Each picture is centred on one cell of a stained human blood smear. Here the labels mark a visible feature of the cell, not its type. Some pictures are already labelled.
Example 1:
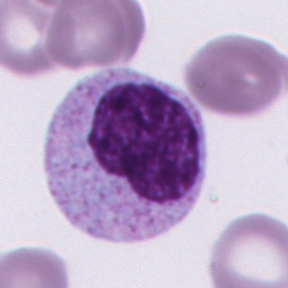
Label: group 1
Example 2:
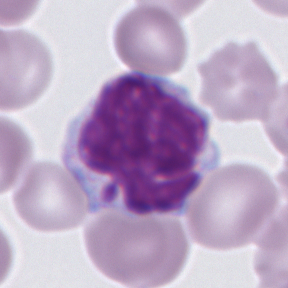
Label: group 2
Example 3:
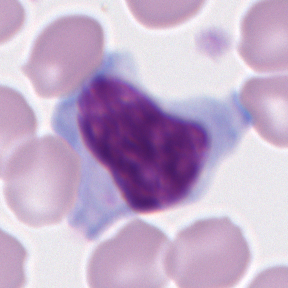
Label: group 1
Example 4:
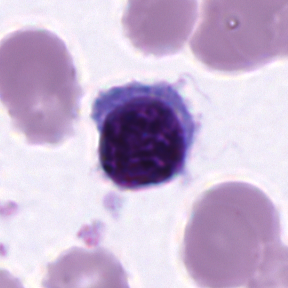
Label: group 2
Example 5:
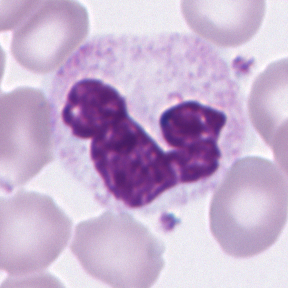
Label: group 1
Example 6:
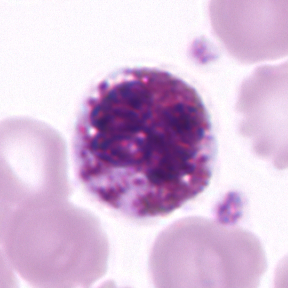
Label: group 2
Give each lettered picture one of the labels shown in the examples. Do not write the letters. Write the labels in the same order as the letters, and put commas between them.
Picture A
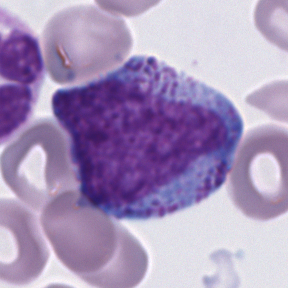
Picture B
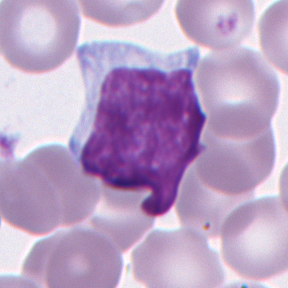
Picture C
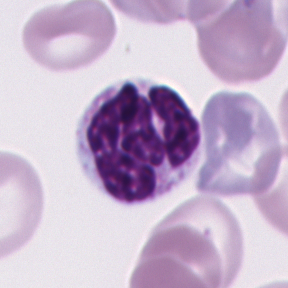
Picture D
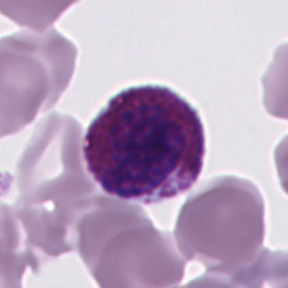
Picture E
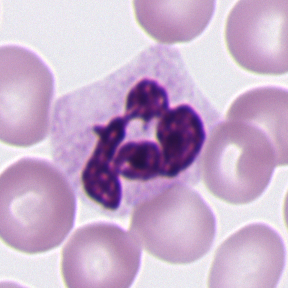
group 2, group 1, group 2, group 2, group 1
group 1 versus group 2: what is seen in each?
In group 1: abundant cytoplasm. In group 2: scant cytoplasm.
